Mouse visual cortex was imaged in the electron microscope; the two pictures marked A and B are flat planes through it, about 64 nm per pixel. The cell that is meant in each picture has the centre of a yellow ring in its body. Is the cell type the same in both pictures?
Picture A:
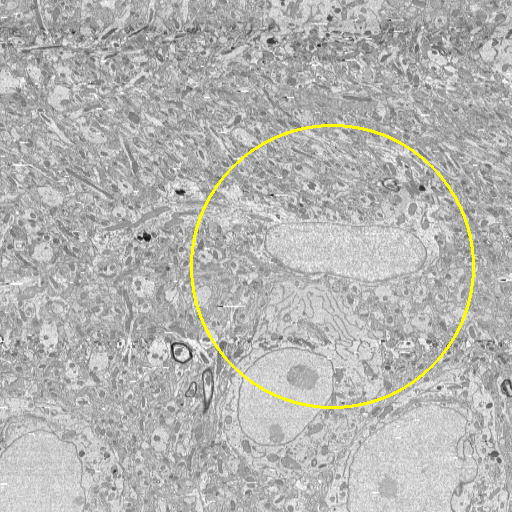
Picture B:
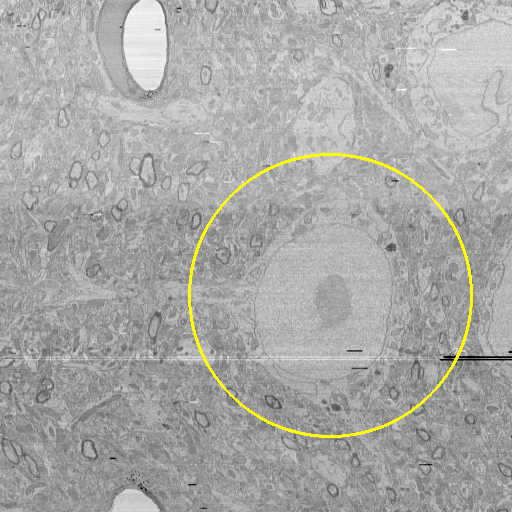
No, picture A shows an astrocyte and picture B shows an excitatory neuron.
